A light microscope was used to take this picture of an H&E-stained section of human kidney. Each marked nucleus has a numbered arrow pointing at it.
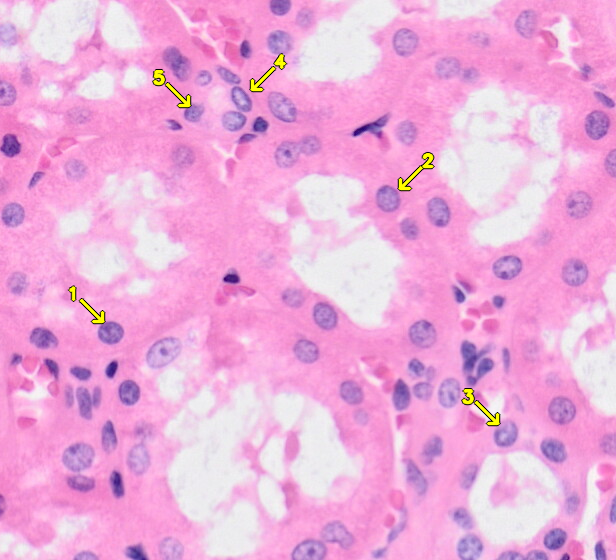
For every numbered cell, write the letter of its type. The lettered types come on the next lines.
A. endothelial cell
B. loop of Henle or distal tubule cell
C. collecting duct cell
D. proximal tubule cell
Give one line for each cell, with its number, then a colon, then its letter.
1: D
2: D
3: C
4: C
5: C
